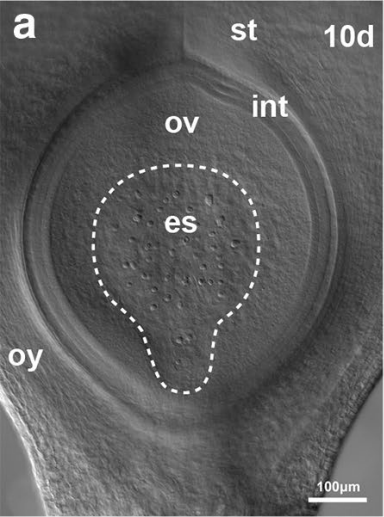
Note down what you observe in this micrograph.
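The ovule is a large oval body enclosed by several thin concentric layers, the integuments, which run around its margin. Flanking the ovule on both sides is the ovary wall, of finely textured tissue. In the centre a dashed line outlines the embryo sac, a region broad above and narrowing into a short extension below, in which many small round profiles, nuclei and cell outlines, stand out sharply against the smoother surrounding ovule tissue.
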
